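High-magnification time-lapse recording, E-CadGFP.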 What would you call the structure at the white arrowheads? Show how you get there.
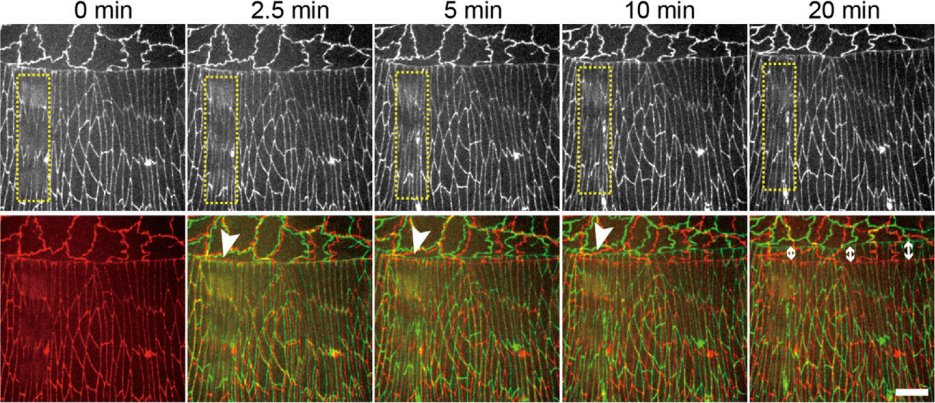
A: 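The arrowheads point at a continuous line bordering the row of elongated cells where they meet the larger polygonal cells above. Along this line the red and green outlines diverge. The answer: leading-edge.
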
